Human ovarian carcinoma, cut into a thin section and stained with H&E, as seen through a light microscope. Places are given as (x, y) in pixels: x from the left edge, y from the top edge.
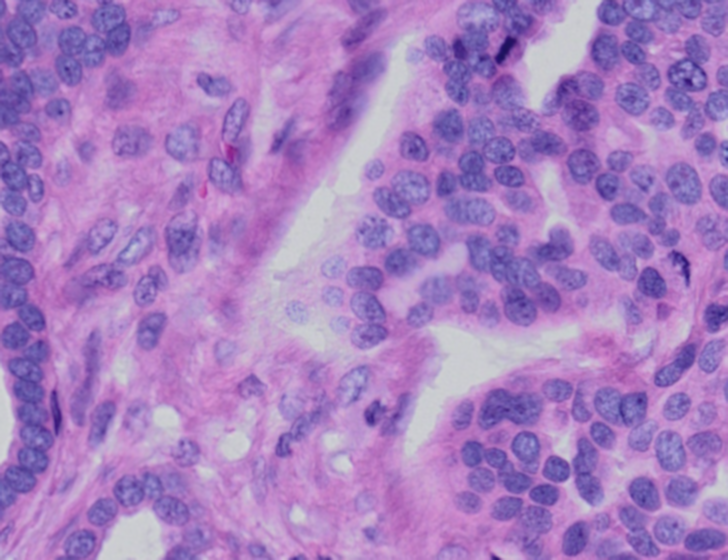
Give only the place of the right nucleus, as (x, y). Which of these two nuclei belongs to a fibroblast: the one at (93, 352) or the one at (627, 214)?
(93, 352)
